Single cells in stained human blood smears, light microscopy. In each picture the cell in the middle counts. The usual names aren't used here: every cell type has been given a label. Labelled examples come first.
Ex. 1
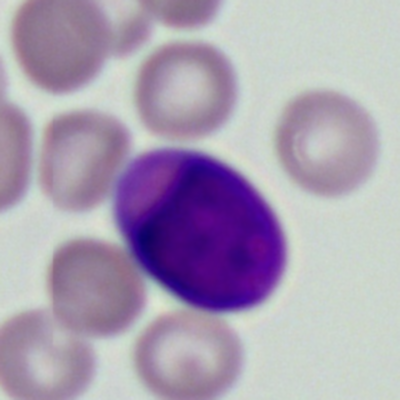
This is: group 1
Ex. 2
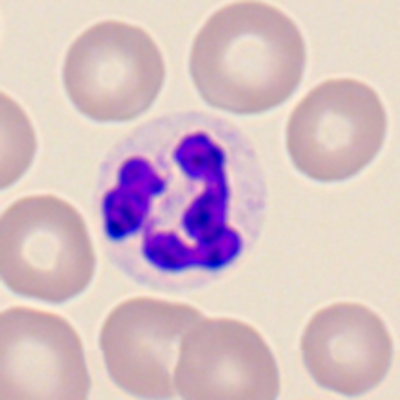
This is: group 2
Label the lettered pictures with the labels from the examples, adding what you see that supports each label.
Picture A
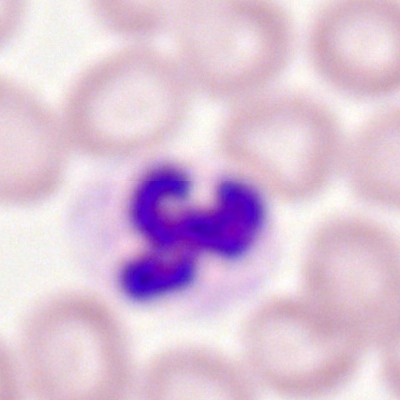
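group 2. Reason: The nucleus is split into three lobes joined together.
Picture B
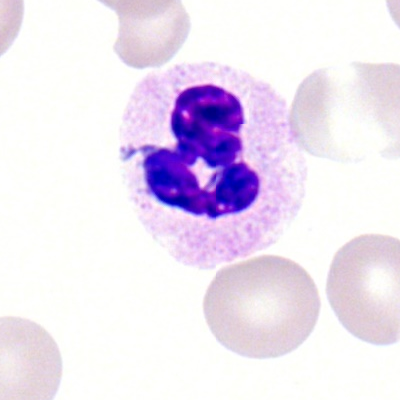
group 2. Reason: The cytoplasm is abundant and pale pink.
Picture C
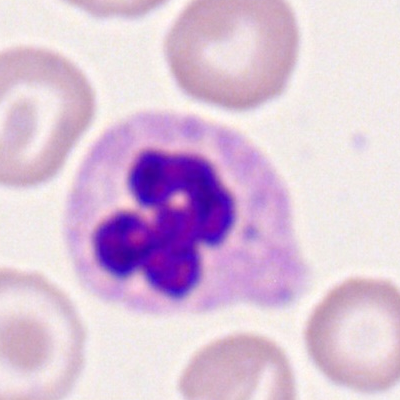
group 2. Reason: The cytoplasm is abundant and pale pinkish-lilac.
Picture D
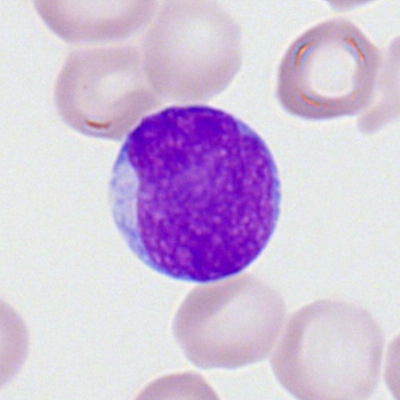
group 1. Reason: The cytoplasm is a scant rim that is widest on the left side.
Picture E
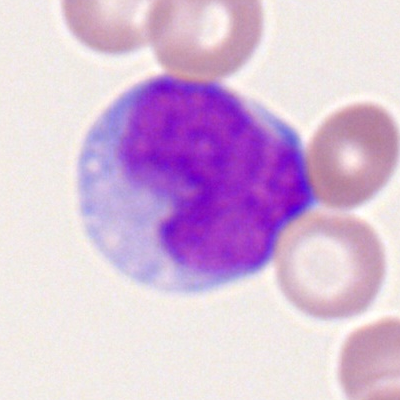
group 1. Reason: The nucleus has a notch on its left side, giving it a kidney-like shape.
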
